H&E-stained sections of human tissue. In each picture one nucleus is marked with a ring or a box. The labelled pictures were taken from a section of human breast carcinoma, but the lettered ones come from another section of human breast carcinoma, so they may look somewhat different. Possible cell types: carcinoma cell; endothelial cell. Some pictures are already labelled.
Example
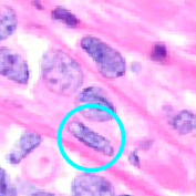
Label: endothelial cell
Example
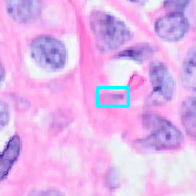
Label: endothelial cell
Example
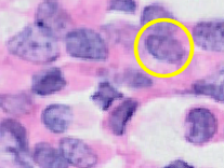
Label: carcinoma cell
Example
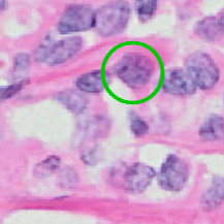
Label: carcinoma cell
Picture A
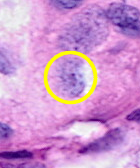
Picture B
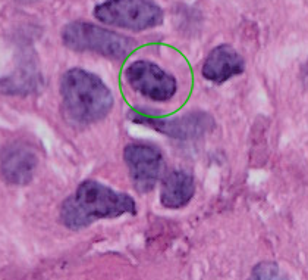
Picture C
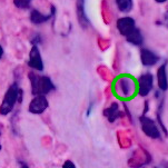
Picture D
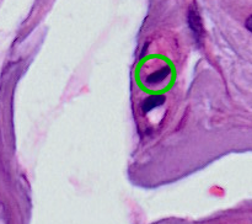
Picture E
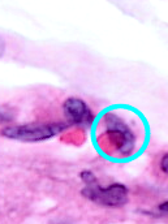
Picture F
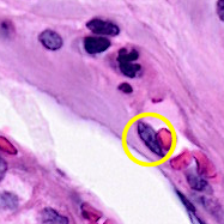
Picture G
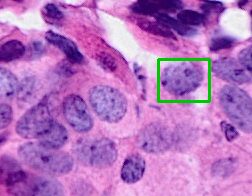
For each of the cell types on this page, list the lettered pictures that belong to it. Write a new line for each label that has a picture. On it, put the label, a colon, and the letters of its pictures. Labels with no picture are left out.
carcinoma cell: A, B, G
endothelial cell: C, D, E, F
